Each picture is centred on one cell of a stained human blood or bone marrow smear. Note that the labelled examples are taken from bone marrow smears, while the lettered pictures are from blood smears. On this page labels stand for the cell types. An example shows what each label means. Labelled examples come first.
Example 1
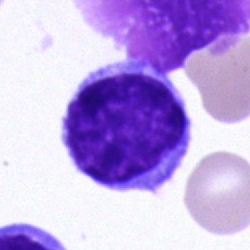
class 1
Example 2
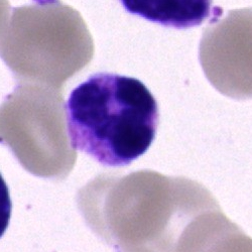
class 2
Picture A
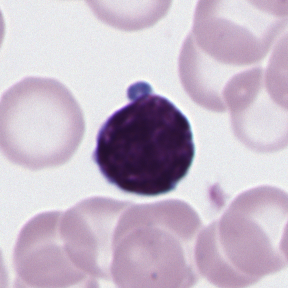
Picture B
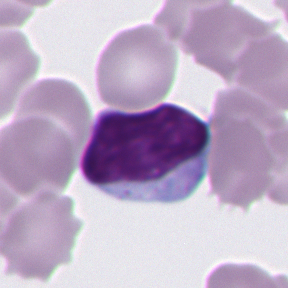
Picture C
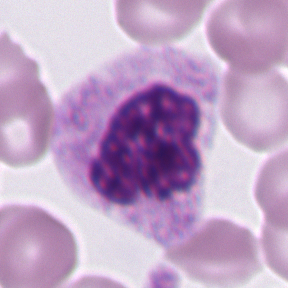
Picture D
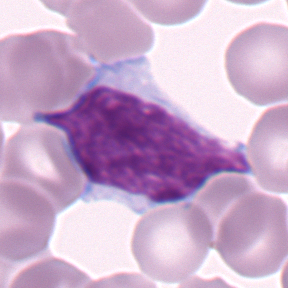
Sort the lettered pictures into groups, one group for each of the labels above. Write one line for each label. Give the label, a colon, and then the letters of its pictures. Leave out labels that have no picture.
class 1: A, B, D
class 2: C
